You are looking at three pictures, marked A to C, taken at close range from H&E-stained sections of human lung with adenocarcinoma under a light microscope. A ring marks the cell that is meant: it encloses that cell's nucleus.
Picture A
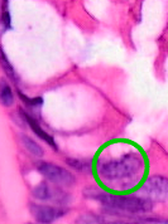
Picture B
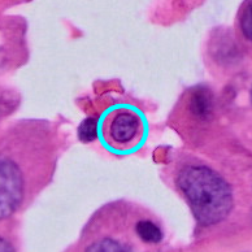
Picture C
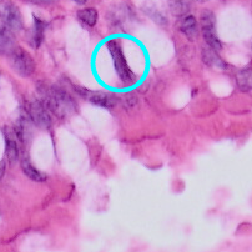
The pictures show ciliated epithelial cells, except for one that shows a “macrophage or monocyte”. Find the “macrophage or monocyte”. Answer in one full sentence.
Picture B shows the “macrophage or monocyte”.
